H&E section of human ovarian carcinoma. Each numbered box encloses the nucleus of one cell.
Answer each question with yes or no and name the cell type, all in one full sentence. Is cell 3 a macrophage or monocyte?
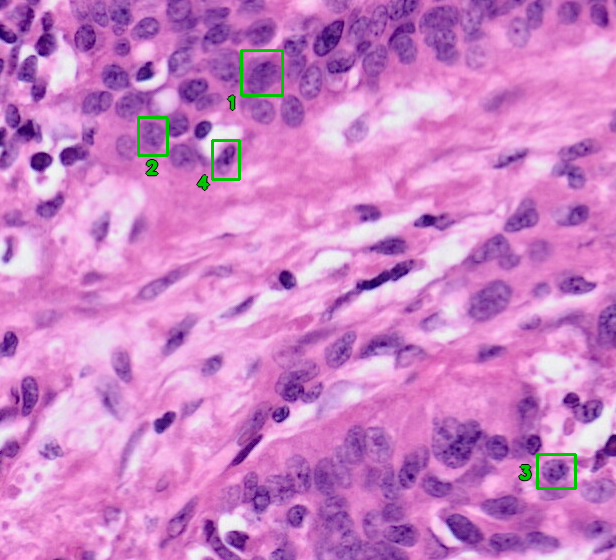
Yes, the cell with the number 3 is a macrophage or monocyte.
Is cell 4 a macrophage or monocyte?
Yes, the cell that is numbered 4 is a macrophage or monocyte.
